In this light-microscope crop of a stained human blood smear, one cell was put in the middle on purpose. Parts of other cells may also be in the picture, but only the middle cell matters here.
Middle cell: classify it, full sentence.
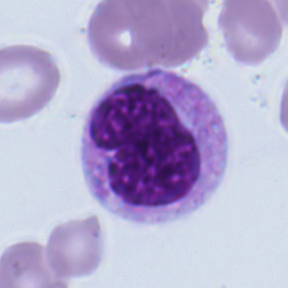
The cell at the central position in this crop is a metamyelocyte.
